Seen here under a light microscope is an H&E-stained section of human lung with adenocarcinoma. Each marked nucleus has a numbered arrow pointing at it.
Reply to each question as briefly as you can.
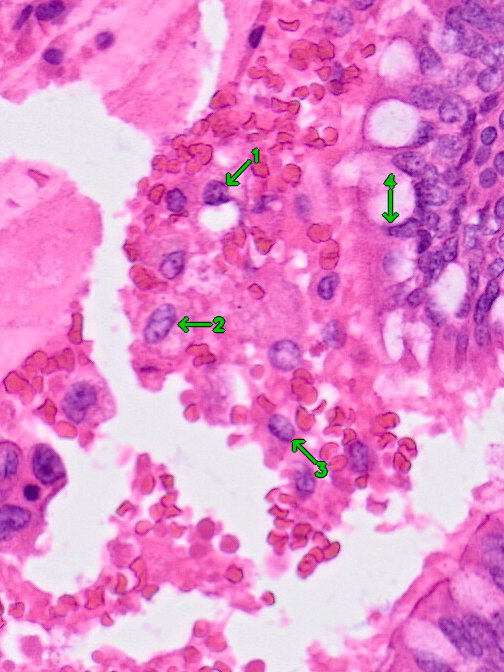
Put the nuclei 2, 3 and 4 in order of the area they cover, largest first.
2, 3, 4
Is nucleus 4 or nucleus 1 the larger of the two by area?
1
